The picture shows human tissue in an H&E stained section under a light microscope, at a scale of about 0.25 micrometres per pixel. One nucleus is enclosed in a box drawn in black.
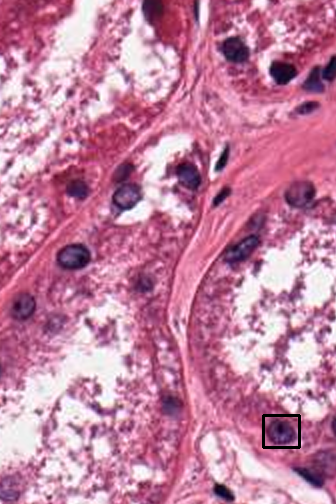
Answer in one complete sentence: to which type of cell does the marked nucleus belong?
Marked in this picture is the nucleus of a proximal tubule cell.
